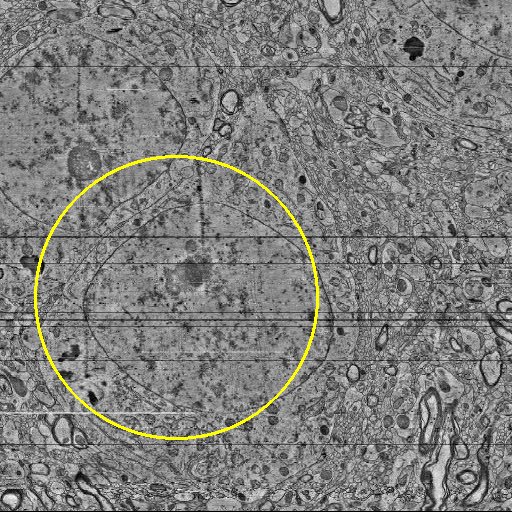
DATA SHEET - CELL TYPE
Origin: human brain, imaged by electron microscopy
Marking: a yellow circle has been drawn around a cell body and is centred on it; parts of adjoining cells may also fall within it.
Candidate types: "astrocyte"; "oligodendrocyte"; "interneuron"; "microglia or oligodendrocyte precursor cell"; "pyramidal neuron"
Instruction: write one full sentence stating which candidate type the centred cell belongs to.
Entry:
The cell body at the centre of the yellow ring in this micrograph belongs to a pyramidal neuron.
